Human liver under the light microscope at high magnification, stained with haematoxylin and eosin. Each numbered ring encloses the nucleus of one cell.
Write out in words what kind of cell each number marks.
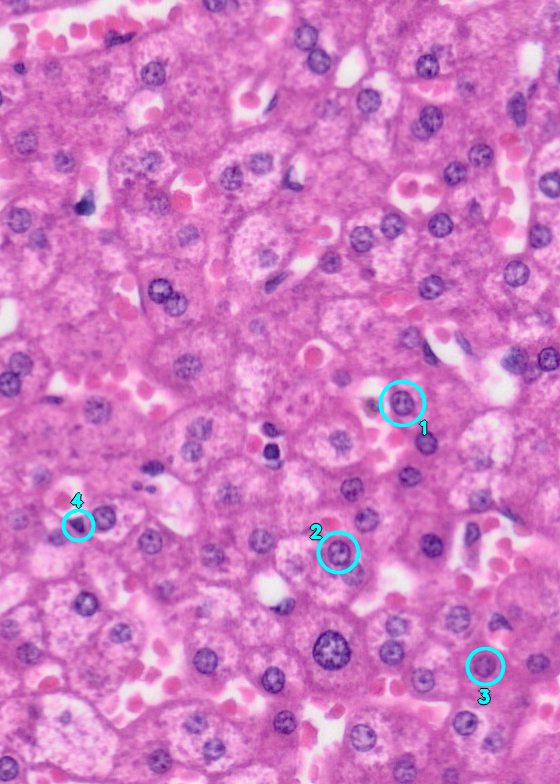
Cell 1 is a hepatocyte, cell 2 is a hepatocyte, cell 3 is a hepatocyte and cell 4 is a fibroblast or stellate cell.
